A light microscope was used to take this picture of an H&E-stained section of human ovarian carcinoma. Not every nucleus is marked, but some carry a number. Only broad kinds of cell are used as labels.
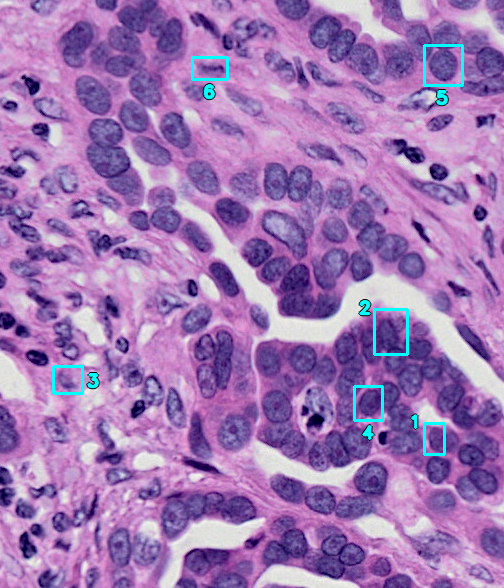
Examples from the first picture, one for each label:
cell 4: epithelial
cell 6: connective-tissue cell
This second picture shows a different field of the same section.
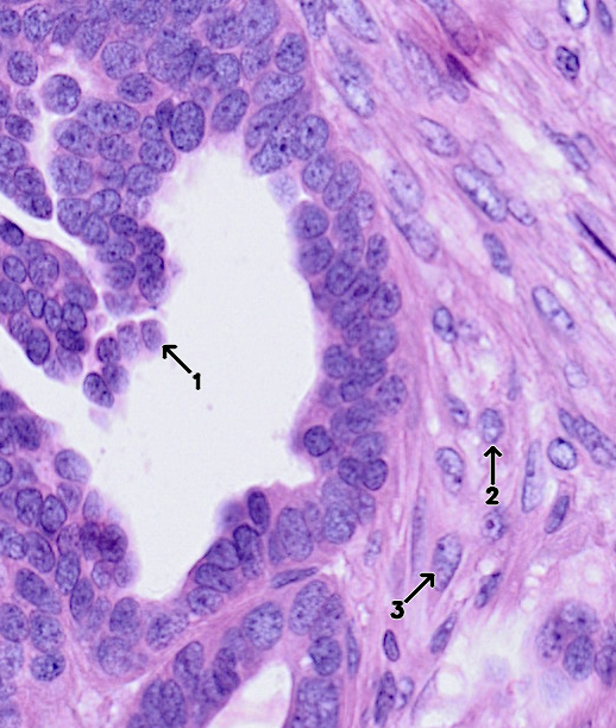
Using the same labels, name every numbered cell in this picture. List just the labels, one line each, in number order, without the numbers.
epithelial
connective-tissue cell
connective-tissue cell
